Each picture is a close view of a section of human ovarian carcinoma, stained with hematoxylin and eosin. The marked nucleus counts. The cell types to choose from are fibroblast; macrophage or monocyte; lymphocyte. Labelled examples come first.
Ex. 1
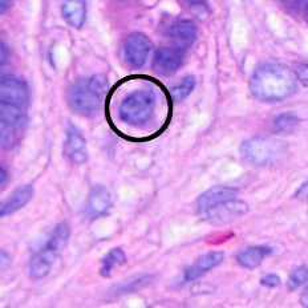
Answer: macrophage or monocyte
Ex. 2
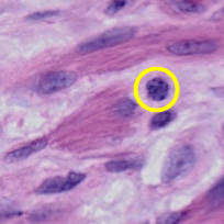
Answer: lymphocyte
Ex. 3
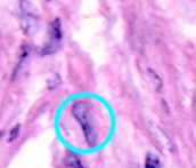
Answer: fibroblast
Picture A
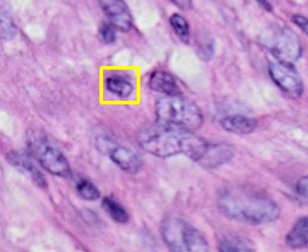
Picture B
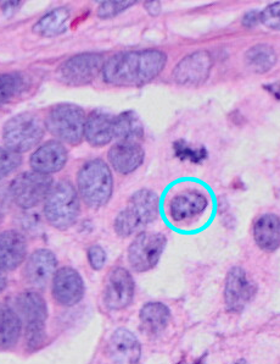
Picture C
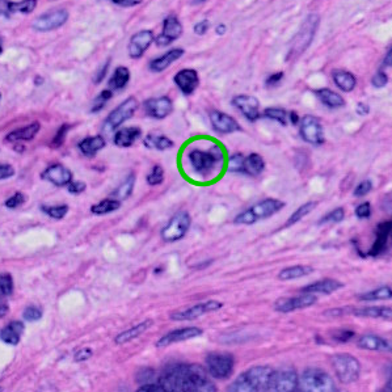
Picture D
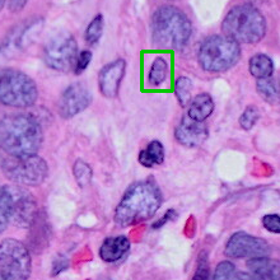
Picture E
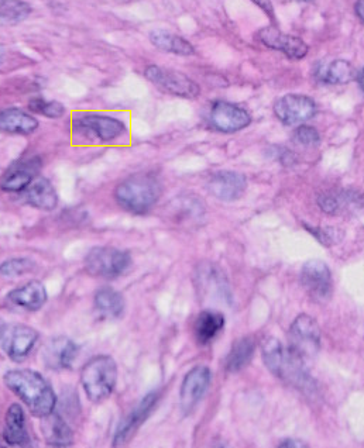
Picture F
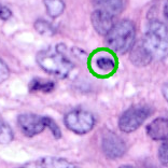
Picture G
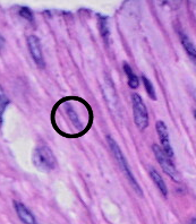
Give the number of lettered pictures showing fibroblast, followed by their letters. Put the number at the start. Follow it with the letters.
2, namely E, G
